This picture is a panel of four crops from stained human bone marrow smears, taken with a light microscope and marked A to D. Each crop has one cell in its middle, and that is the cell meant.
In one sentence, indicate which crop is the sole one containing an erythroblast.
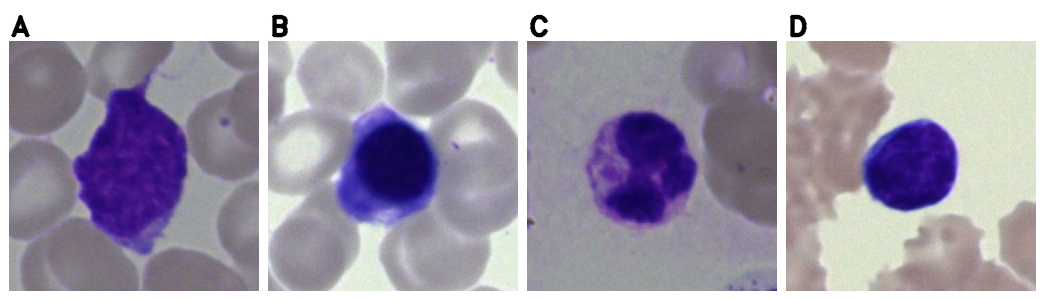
The cell at the center of crop B is the one that is an erythroblast.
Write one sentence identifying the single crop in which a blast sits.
Of the crops shown, crop A depicts a blast.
